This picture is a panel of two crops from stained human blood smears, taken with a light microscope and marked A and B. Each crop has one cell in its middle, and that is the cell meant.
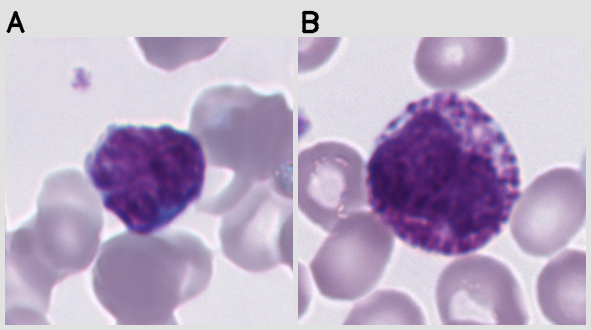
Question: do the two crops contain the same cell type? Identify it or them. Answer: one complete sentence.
No, crop A is where a lymphocyte is shown, and crop B is where a basophil is shown.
